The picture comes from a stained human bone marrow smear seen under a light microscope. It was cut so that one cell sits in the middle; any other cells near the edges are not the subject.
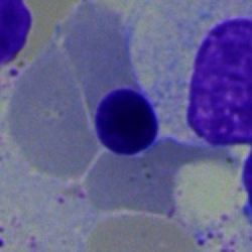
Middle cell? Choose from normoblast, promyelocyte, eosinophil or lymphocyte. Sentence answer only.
Among the cells in view, the one in the middle is a normoblast.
